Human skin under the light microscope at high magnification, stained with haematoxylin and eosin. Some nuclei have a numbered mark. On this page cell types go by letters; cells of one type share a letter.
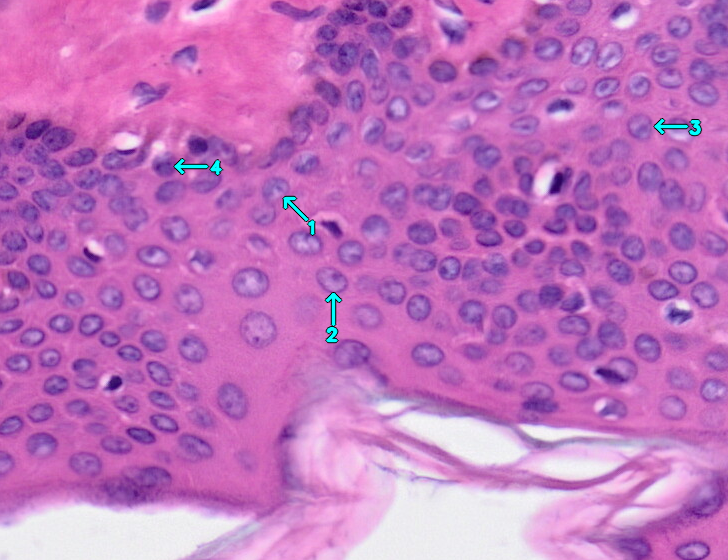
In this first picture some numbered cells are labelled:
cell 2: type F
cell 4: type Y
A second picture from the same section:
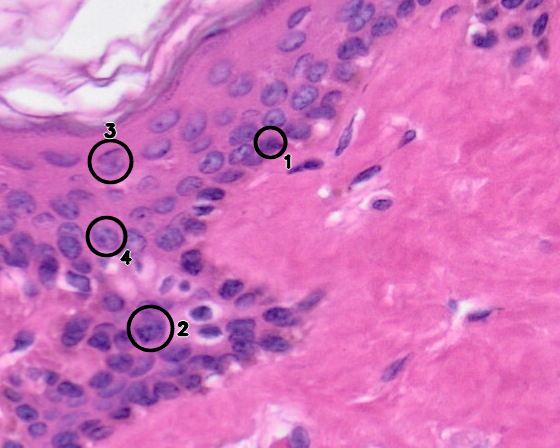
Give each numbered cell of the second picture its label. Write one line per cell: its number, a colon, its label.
1: type Y
2: type Y
3: type F
4: type F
